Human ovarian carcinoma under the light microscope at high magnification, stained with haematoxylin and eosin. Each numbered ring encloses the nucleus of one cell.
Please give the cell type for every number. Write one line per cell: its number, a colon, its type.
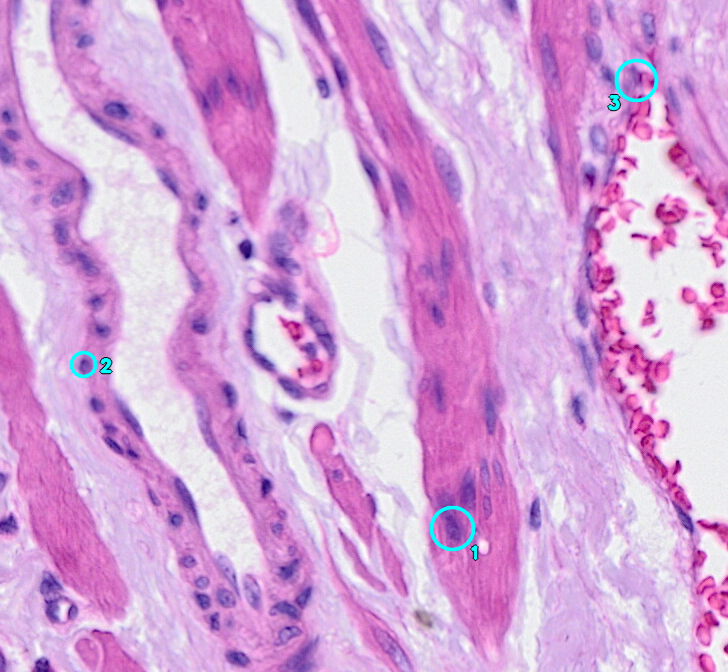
1: smooth muscle cell
2: smooth muscle cell
3: endothelial cell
